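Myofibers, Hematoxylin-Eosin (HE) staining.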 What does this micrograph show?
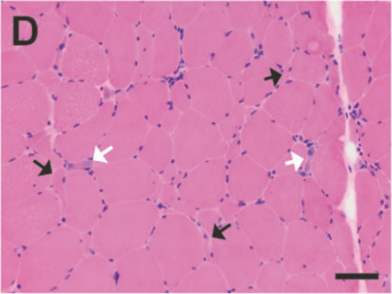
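Cross-section of muscle fibers of varied size. Most fibers are polygonal, pink, with small dark nuclei at their periphery. Several small fibers with sharp, angular outlines lie wedged between larger ones. Thin pale connective tissue separates the fibers, and a wider band of connective tissue with more nuclei runs along the right edge. Fiber size varies more than usual.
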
